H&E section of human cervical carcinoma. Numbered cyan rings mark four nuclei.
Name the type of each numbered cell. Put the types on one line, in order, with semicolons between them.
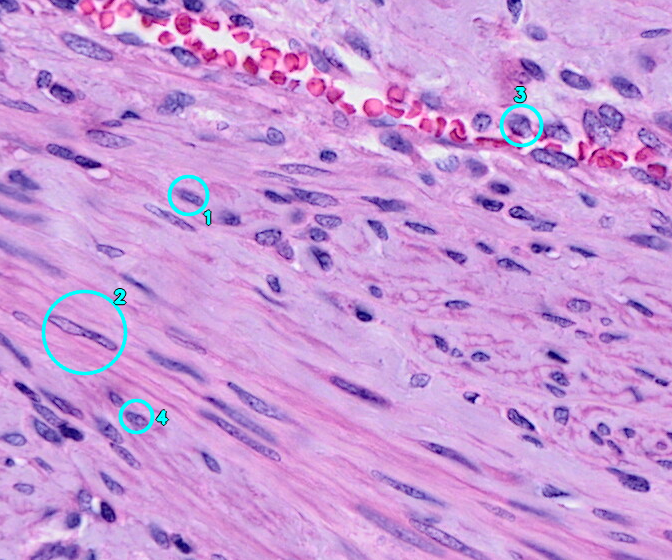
smooth muscle cell; smooth muscle cell; endothelial cell; smooth muscle cell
